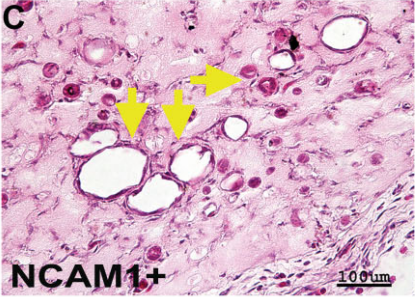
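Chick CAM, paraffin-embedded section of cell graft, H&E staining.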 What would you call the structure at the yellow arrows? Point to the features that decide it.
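Round hollow spaces with clear lumens. Each lumen is rimmed by a thin layer of cells. They lie within a pale pink loose matrix.
Conclusion: tubule-like formations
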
